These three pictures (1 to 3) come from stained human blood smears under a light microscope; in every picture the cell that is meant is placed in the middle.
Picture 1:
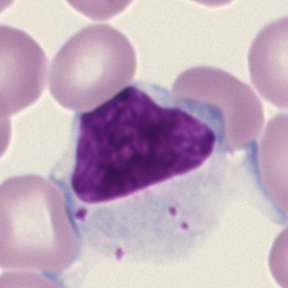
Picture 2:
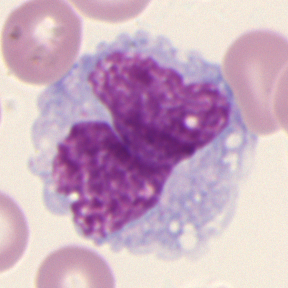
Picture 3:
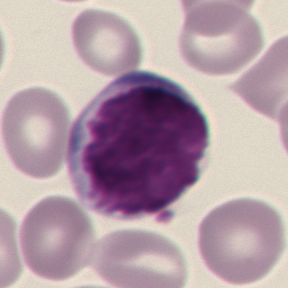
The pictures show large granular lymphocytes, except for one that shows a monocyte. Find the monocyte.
2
